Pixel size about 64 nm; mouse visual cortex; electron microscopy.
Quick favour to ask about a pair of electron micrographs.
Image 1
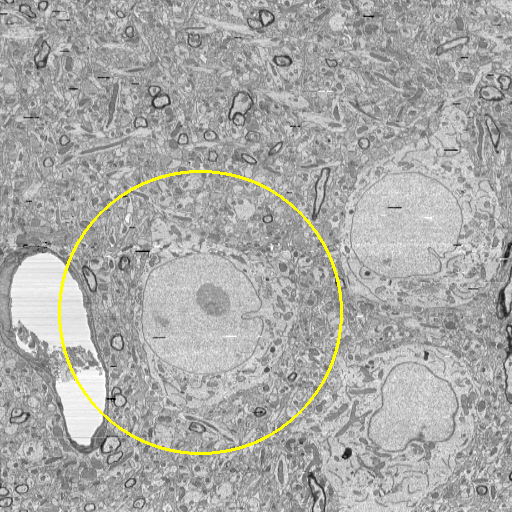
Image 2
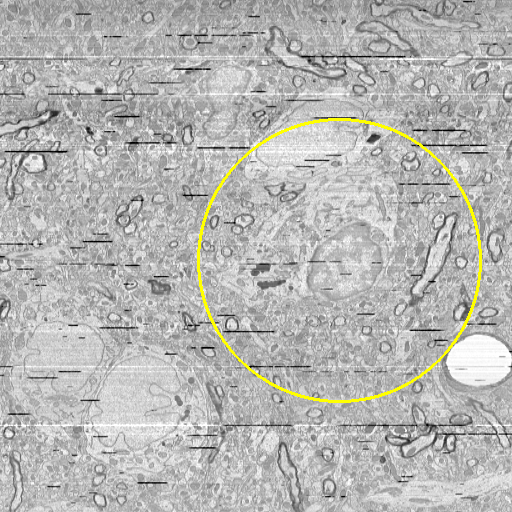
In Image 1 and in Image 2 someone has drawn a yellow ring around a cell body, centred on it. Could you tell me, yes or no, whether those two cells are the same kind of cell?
no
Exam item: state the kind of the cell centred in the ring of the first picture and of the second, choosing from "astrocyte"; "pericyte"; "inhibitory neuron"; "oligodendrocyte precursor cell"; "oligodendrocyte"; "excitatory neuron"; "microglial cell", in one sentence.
The first picture shows an excitatory neuron at the ring centre and the second shows an oligodendrocyte.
